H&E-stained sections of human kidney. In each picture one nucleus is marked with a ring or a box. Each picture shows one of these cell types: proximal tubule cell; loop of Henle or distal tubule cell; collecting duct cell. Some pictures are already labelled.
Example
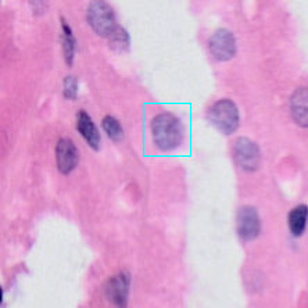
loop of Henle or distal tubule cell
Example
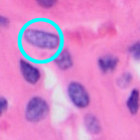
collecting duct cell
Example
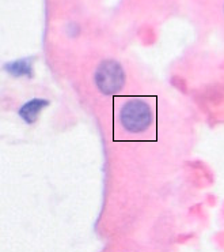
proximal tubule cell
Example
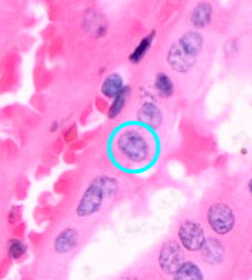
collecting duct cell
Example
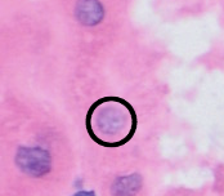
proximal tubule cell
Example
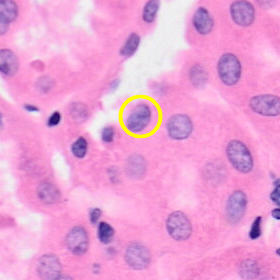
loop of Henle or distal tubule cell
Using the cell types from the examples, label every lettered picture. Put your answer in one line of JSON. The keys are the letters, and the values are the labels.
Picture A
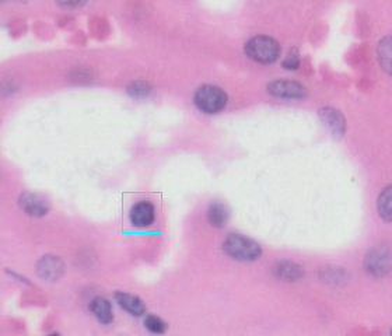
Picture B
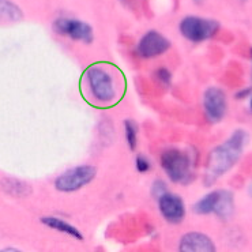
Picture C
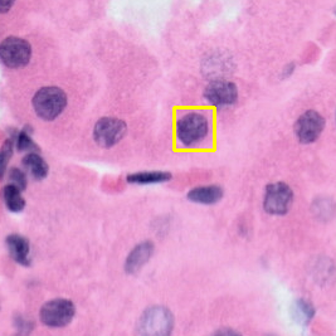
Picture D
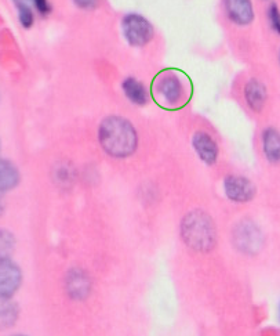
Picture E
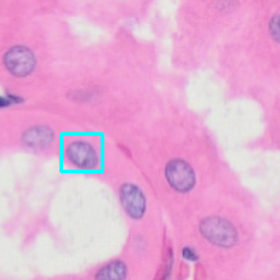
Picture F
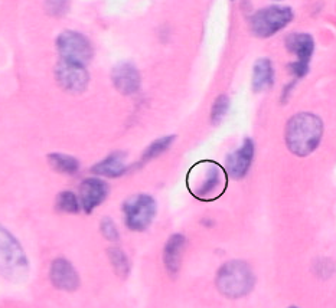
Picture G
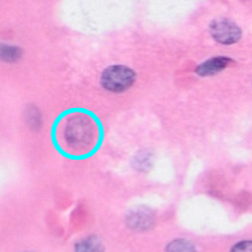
{"A": "loop of Henle or distal tubule cell", "B": "loop of Henle or distal tubule cell", "C": "proximal tubule cell", "D": "loop of Henle or distal tubule cell", "E": "loop of Henle or distal tubule cell", "F": "collecting duct cell", "G": "proximal tubule cell"}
